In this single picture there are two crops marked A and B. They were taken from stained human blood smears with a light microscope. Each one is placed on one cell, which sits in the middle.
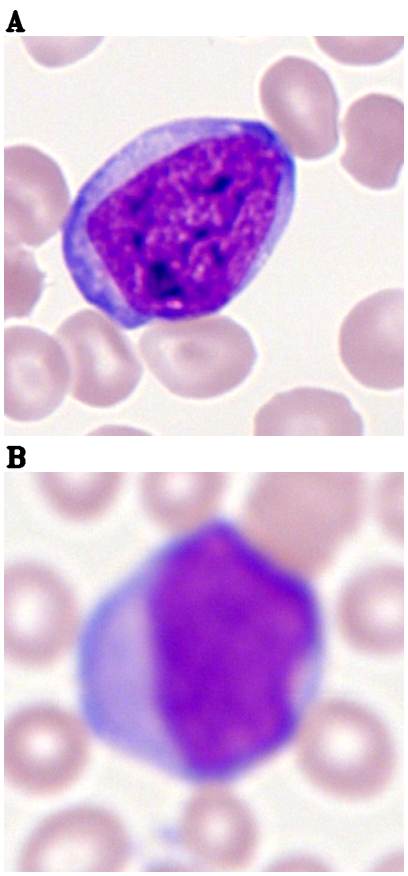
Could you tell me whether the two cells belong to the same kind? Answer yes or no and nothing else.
yes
